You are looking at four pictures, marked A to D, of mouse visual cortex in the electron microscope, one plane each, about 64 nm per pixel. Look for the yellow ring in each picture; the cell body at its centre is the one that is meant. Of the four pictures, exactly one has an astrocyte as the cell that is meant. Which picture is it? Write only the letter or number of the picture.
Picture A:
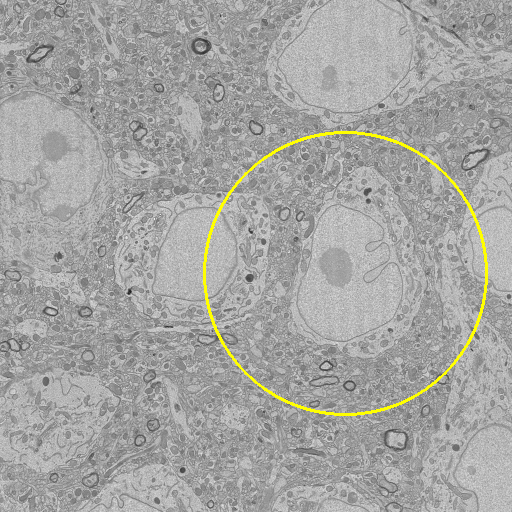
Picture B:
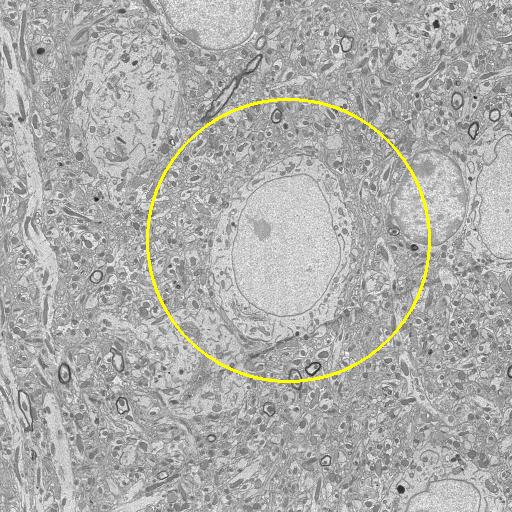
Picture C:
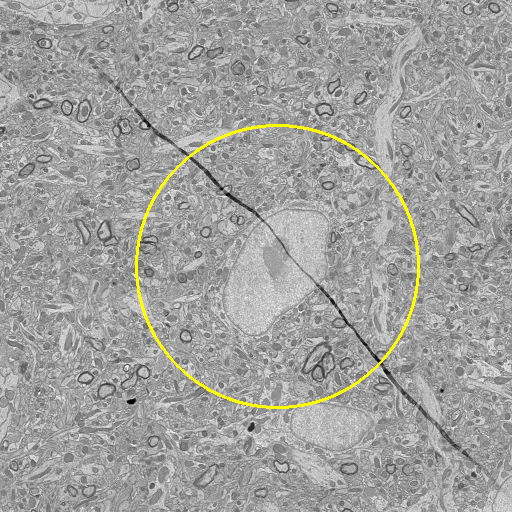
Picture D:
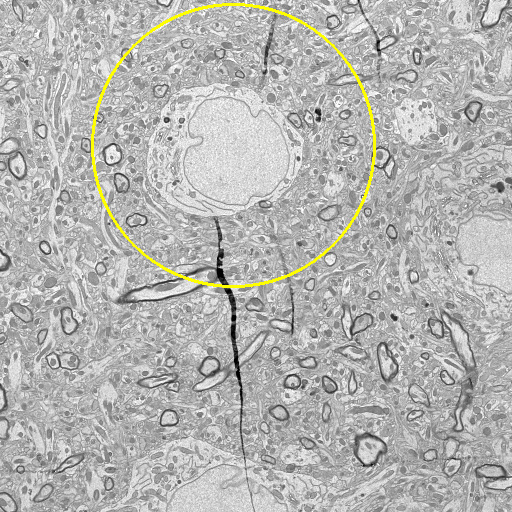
C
